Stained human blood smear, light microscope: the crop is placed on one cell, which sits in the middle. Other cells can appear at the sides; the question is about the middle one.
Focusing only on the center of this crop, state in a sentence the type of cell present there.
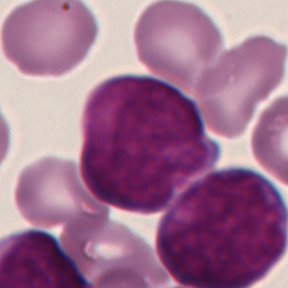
The middle of this crop is occupied by a blast.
